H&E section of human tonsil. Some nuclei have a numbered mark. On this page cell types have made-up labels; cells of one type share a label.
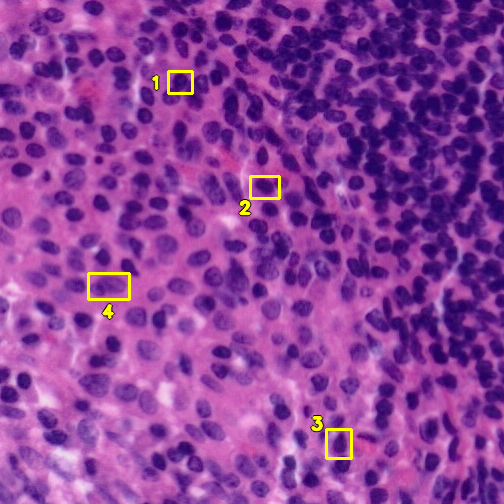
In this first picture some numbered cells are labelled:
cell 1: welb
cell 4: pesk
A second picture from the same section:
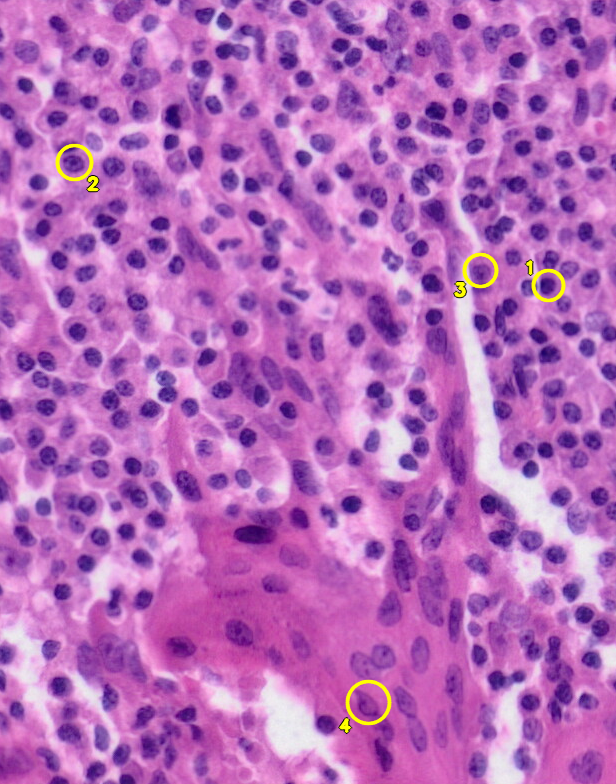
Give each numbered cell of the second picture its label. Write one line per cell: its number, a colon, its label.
1: welb
2: welb
3: welb
4: pesk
